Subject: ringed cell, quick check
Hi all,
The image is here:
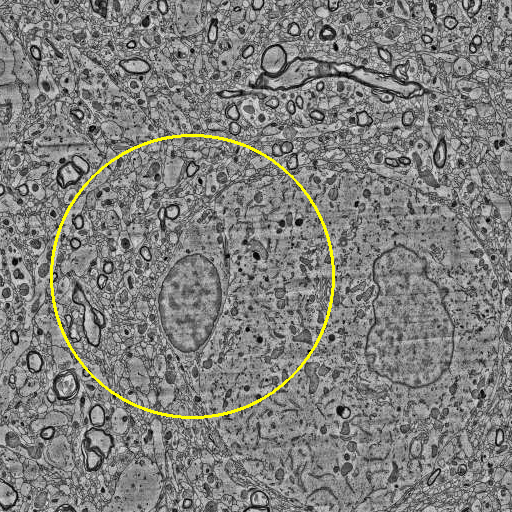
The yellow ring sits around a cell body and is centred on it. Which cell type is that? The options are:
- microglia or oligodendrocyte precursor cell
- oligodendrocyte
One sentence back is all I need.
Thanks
That ringed cell is an oligodendrocyte.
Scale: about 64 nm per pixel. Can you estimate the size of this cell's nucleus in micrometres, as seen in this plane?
The nucleus is approximately 6 micrometres long but only about 4 wide, clearly longer than it is wide in this plane.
